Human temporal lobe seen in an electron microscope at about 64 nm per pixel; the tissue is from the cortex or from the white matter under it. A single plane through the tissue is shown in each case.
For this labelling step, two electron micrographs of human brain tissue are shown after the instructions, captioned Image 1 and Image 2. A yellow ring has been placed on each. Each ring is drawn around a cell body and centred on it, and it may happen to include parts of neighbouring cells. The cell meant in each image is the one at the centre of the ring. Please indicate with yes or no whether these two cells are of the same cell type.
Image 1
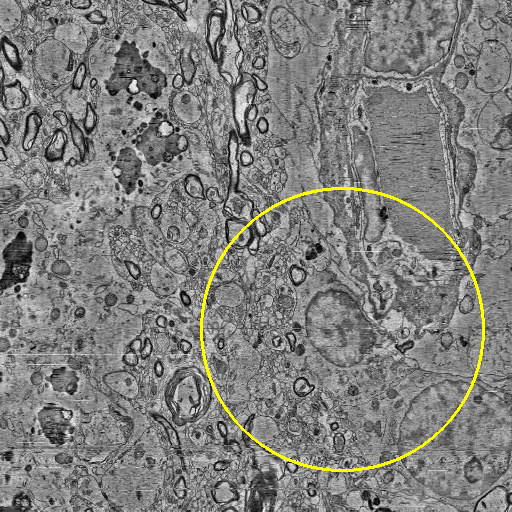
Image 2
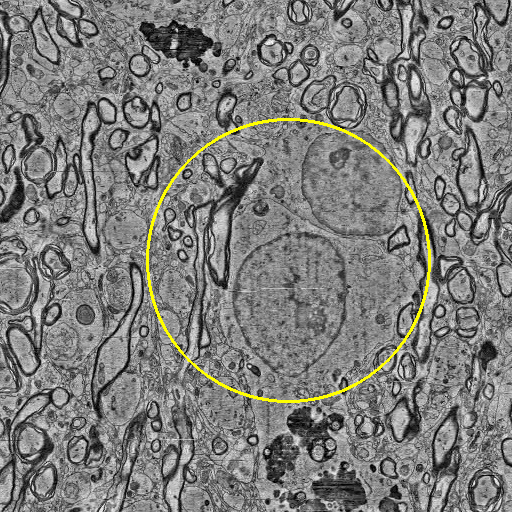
no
